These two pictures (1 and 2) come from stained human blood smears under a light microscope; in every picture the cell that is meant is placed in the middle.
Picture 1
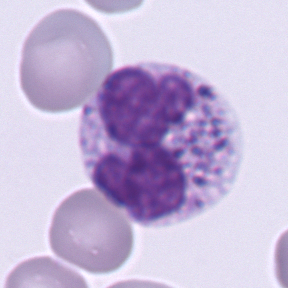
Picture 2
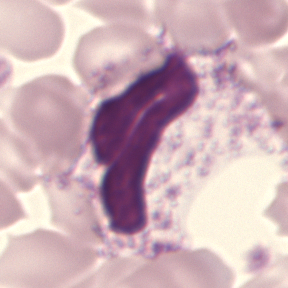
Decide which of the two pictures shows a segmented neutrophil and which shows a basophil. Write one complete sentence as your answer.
The cell in picture 1 is a basophil, and the one in picture 2 is a segmented neutrophil.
